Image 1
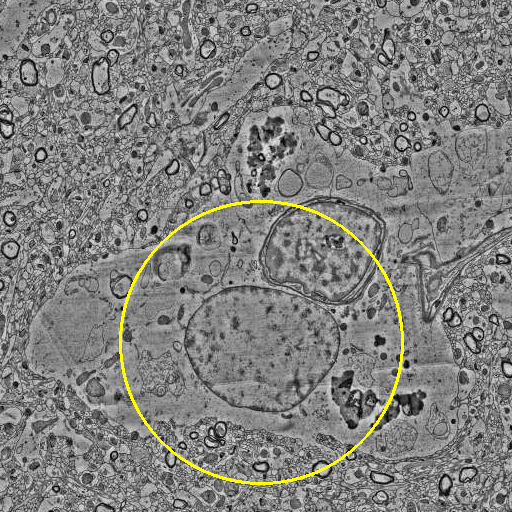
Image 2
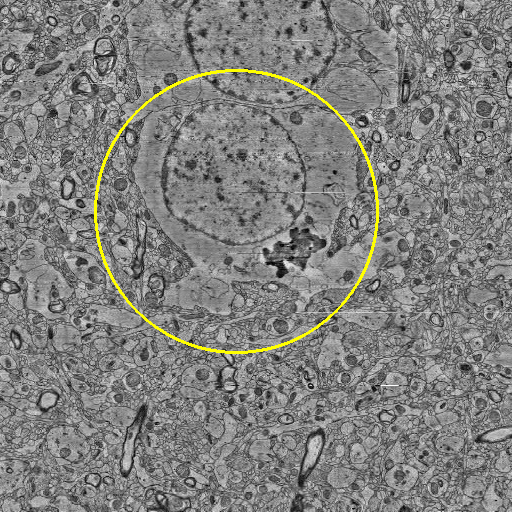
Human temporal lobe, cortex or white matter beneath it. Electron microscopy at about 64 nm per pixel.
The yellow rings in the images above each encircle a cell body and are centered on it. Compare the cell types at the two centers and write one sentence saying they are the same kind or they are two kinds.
Taken together, the two cells at the ring centers are the same kind.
